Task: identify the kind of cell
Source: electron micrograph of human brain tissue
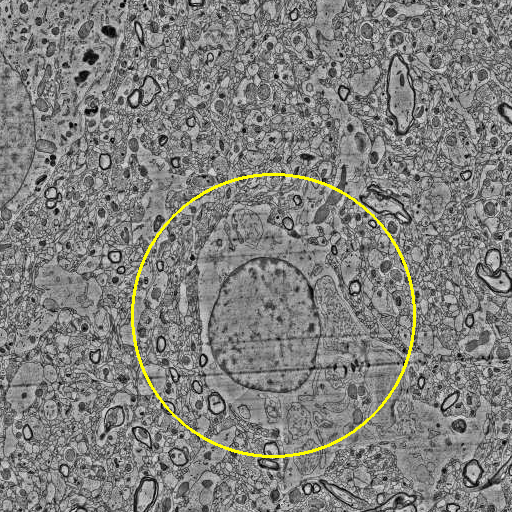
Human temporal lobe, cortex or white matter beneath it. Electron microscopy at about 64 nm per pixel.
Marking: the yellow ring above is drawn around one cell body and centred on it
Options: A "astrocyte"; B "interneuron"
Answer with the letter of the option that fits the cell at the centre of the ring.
A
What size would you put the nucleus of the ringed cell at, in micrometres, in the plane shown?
In this plane the nucleus is about 9 micrometres by 7.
